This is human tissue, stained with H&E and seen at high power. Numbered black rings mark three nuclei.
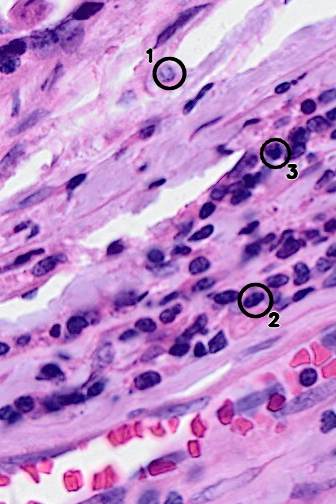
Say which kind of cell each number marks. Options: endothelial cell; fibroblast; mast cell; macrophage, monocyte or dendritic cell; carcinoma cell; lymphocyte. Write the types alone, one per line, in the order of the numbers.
mast cell
lymphocyte
lymphocyte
